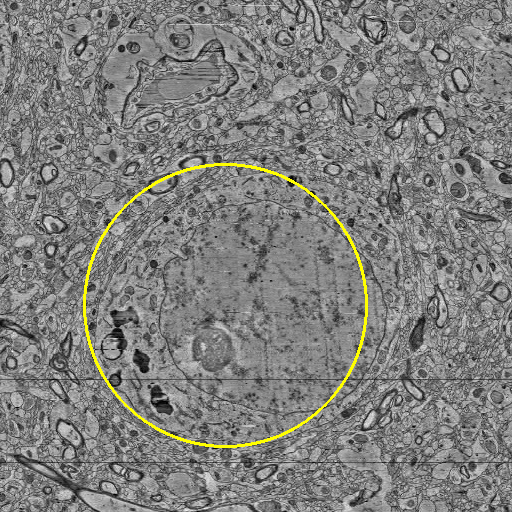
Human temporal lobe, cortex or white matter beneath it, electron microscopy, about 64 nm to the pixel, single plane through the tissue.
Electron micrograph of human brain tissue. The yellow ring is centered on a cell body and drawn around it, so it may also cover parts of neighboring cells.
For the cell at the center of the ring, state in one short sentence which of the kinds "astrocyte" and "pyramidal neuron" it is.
This ring is centered on a pyramidal neuron.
